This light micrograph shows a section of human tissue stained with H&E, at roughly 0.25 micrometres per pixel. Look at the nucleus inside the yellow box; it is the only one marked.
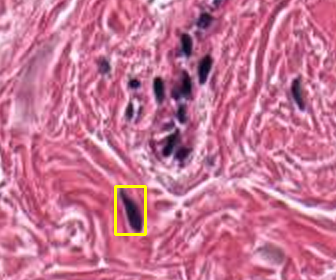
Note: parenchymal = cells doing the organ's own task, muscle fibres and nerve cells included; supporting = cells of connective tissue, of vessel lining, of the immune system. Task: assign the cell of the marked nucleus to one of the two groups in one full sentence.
The marked nucleus in this section is part of a supporting cell.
